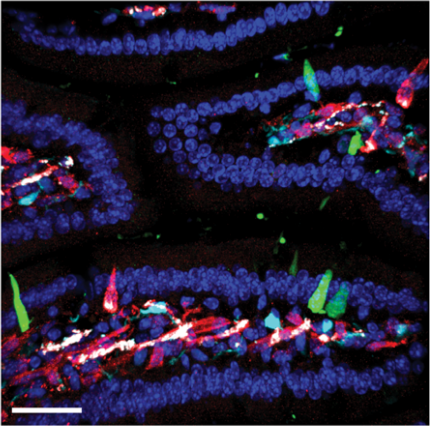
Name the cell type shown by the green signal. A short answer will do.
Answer: Enteroendocrine cells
